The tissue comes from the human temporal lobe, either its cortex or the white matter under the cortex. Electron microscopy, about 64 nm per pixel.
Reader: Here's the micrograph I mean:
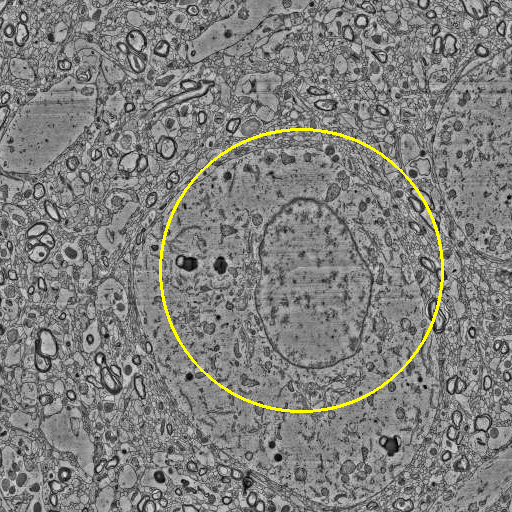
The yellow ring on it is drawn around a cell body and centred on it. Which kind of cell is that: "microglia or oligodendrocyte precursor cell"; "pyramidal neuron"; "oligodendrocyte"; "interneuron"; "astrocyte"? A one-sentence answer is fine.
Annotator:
The ring is centred on a pyramidal neuron.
